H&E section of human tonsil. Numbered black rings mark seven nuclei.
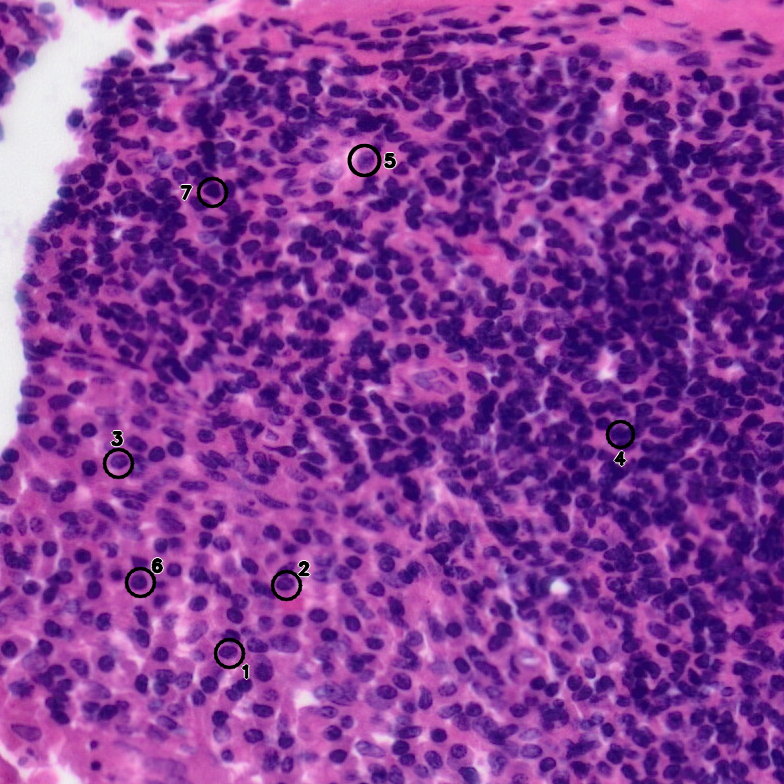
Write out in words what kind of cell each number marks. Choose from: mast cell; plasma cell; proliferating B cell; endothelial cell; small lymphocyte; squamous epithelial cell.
Cell 1 is a plasma cell, cell 2 is a plasma cell, cell 3 is a plasma cell, cell 4 is a small lymphocyte, cell 5 is an endothelial cell, cell 6 is a plasma cell and cell 7 is a small lymphocyte.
